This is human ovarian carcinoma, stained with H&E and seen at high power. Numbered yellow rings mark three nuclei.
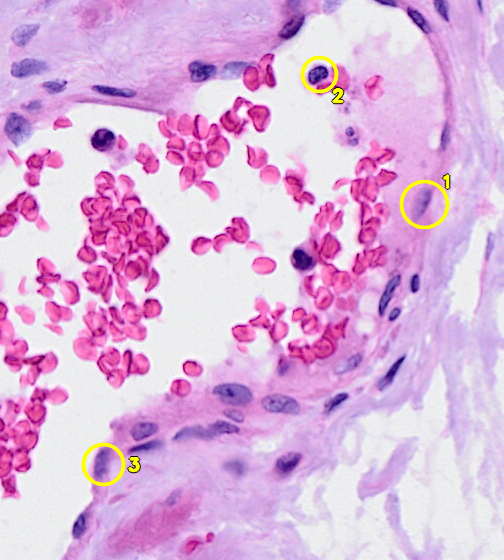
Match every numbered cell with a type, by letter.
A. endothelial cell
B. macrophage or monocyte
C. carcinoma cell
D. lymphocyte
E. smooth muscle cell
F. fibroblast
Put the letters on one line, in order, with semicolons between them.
A; D; A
